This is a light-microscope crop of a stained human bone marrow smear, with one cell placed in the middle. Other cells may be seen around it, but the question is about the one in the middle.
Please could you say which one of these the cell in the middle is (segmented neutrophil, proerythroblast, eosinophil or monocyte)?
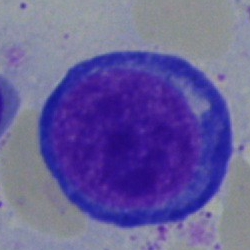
proerythroblast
